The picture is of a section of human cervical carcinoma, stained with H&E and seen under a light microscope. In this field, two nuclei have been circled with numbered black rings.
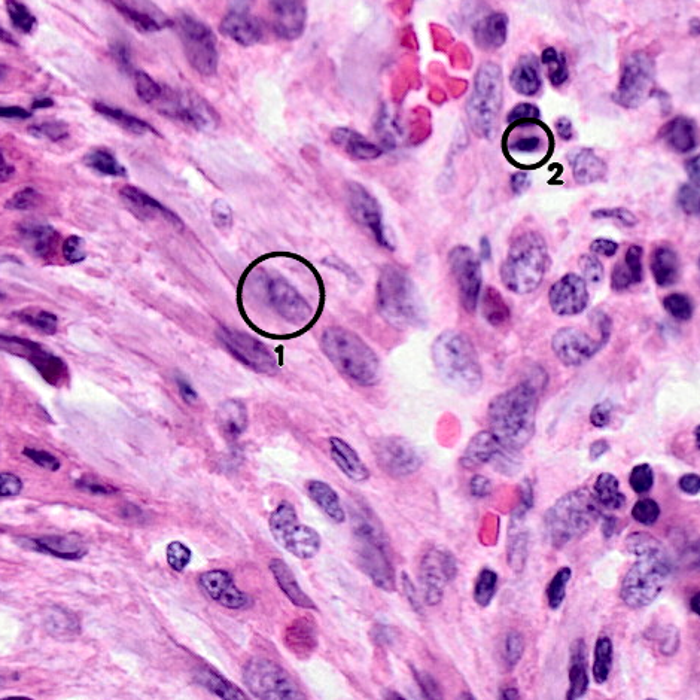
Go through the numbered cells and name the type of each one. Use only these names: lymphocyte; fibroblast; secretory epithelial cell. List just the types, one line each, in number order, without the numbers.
fibroblast
lymphocyte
